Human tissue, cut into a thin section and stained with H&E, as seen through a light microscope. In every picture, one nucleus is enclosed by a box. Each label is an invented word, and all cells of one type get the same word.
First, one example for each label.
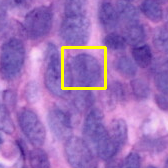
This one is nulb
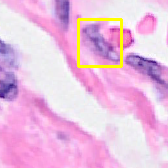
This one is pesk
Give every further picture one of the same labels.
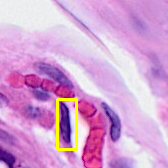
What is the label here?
pesk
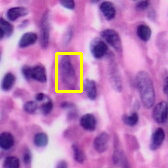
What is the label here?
pesk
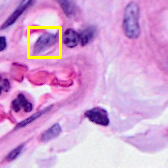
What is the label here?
pesk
